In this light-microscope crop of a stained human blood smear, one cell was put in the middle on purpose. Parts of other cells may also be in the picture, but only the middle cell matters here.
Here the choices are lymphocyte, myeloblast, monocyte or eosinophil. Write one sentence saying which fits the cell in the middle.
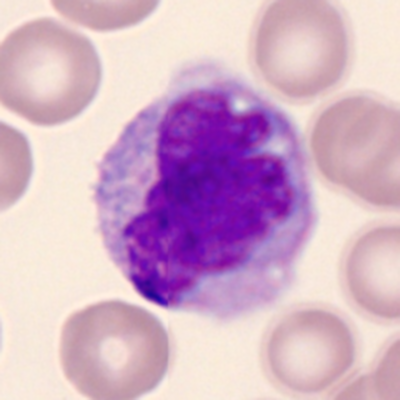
The cell under consideration, at the middle of the crop, is a monocyte.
